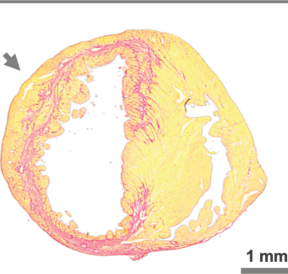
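A large, open chamber on the left is surrounded by a fairly thin outer wall. Within that wall, red-stained fibrous streaks run along its length, interleaved with yellow muscle tissue. The thicker yellow mass on the right holds a smaller, slit-like cavity with irregular trabeculated edges. A further patch of red lies where the septum meets the outer wall at the lower part of the section.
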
